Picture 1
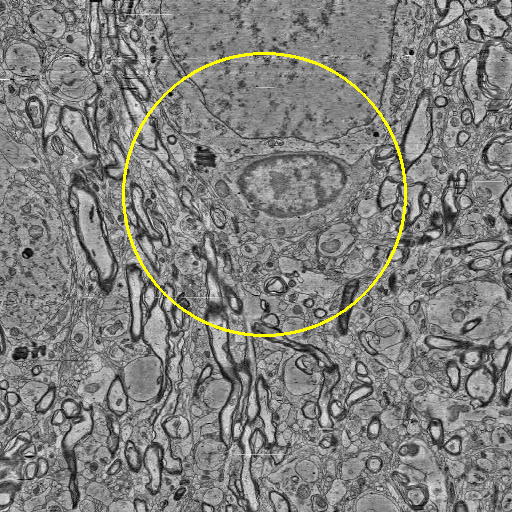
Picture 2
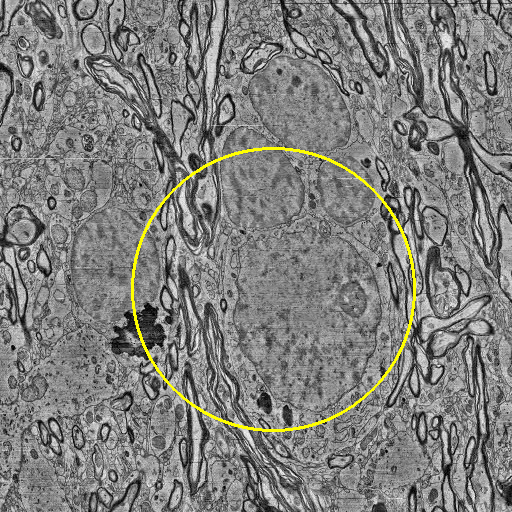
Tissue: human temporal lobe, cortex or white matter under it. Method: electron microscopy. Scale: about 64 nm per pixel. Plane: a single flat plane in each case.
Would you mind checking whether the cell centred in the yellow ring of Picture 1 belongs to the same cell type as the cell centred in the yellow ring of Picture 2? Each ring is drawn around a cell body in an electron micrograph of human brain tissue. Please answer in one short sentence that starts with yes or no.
No, the two cells are of two types.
